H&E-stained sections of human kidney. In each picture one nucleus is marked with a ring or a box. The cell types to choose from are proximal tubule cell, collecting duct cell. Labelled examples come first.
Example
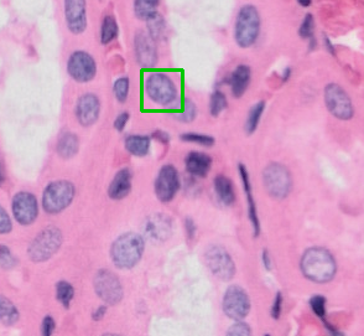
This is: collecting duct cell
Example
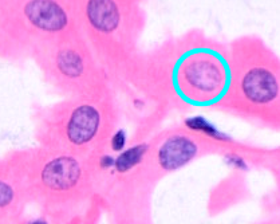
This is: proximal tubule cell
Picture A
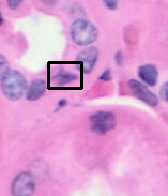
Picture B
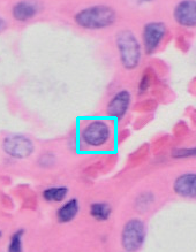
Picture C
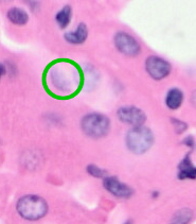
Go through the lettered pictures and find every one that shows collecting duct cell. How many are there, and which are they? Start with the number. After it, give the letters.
3, namely A, B, C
